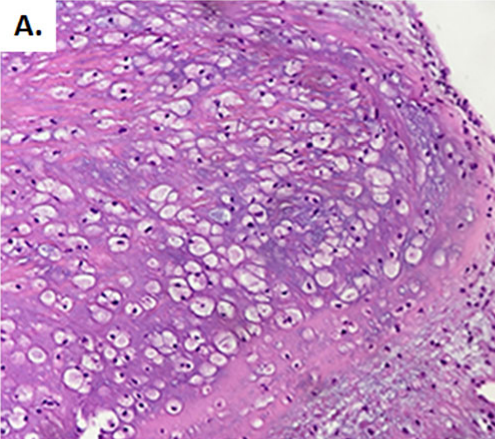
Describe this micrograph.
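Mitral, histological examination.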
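The valve stroma is crowded with rounded cells that have clear, empty-looking cytoplasm and a small dark nucleus, many set in little halos. These cells lie scattered through a matrix that is pink in places and bluish-purple in others, the bluish parts suggesting abundant ground substance. Toward the right edge the tissue is denser, with smaller packed nuclei lining the surface.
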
